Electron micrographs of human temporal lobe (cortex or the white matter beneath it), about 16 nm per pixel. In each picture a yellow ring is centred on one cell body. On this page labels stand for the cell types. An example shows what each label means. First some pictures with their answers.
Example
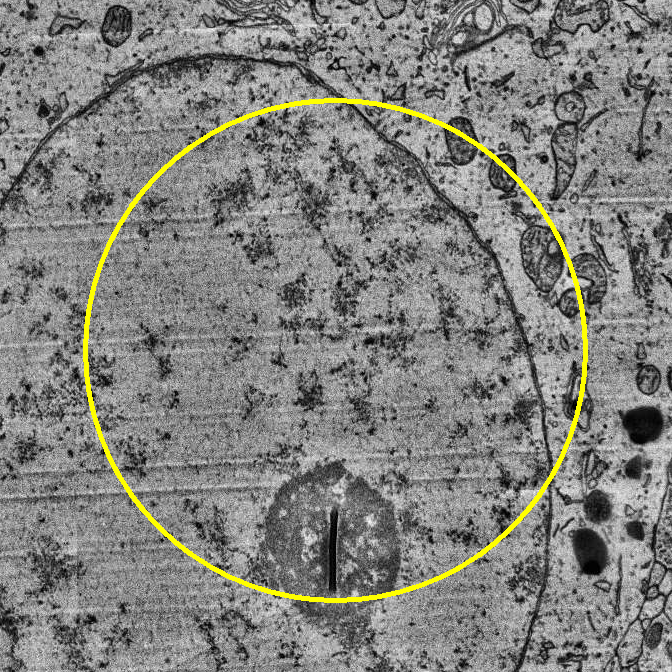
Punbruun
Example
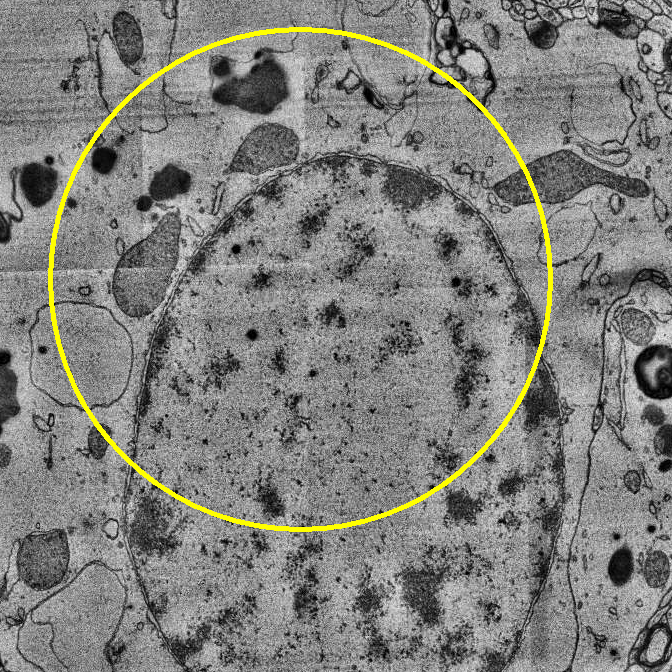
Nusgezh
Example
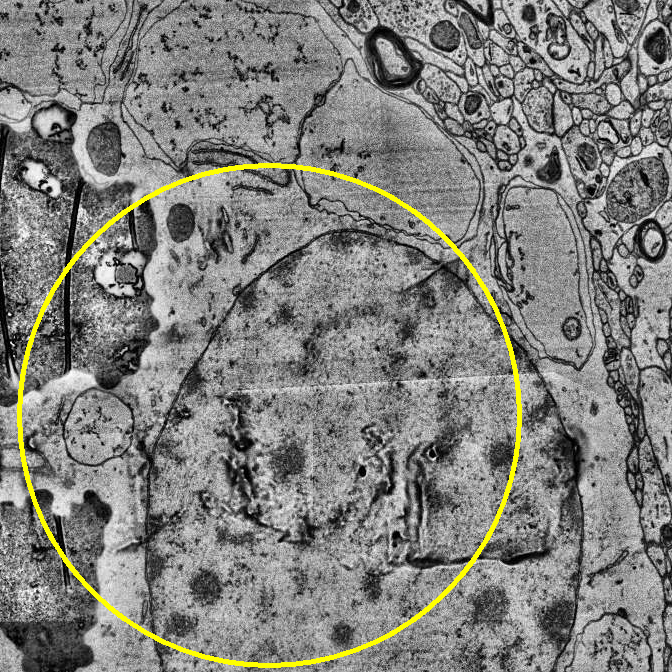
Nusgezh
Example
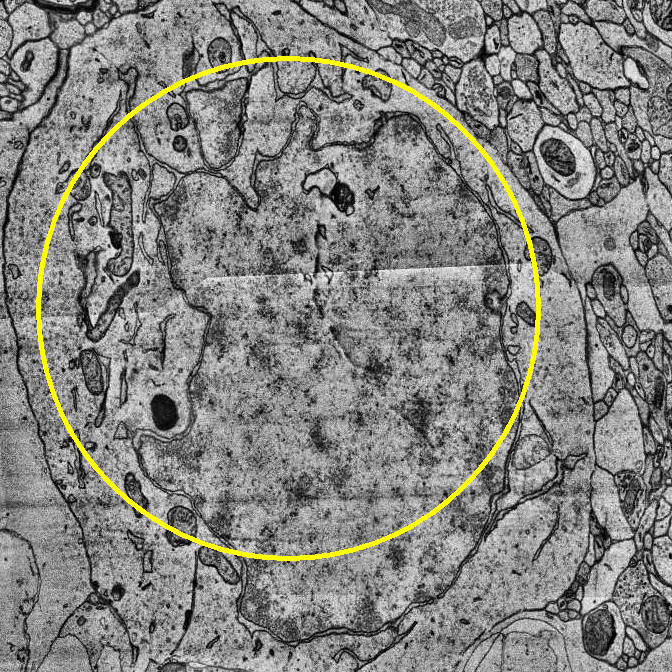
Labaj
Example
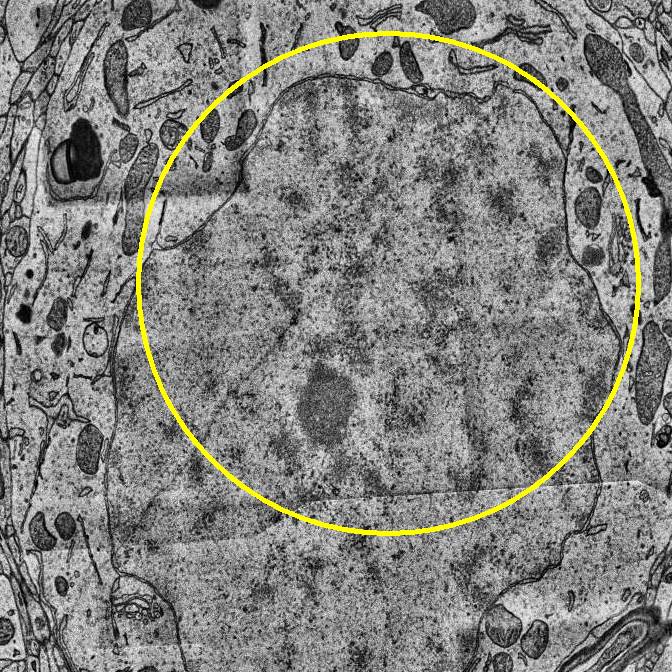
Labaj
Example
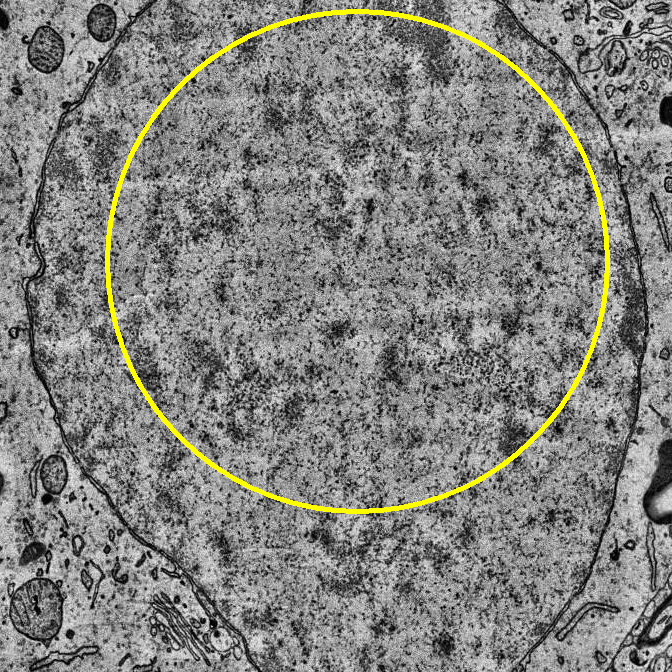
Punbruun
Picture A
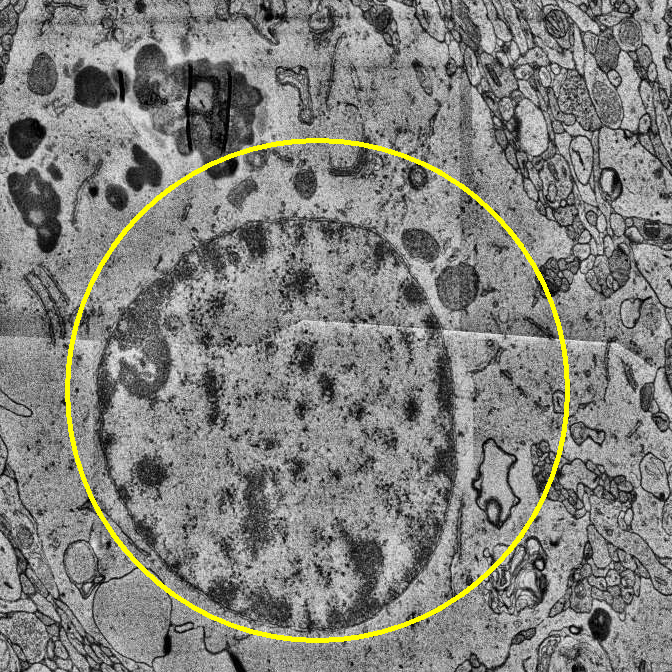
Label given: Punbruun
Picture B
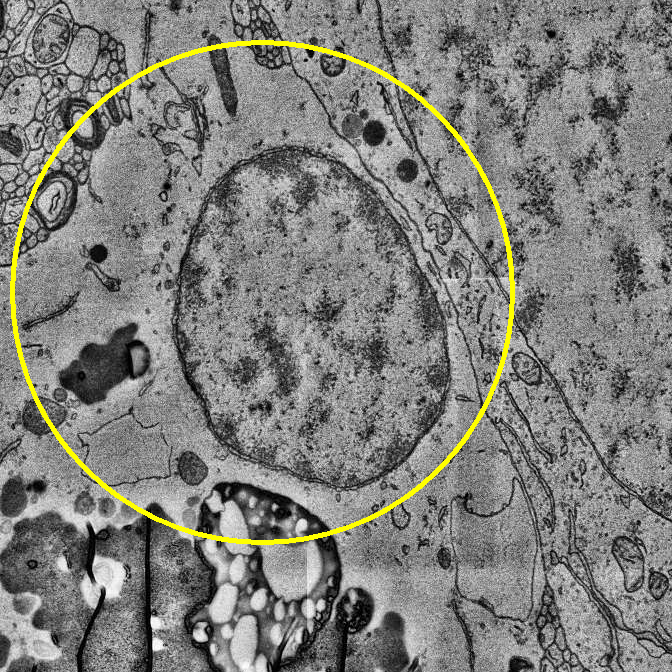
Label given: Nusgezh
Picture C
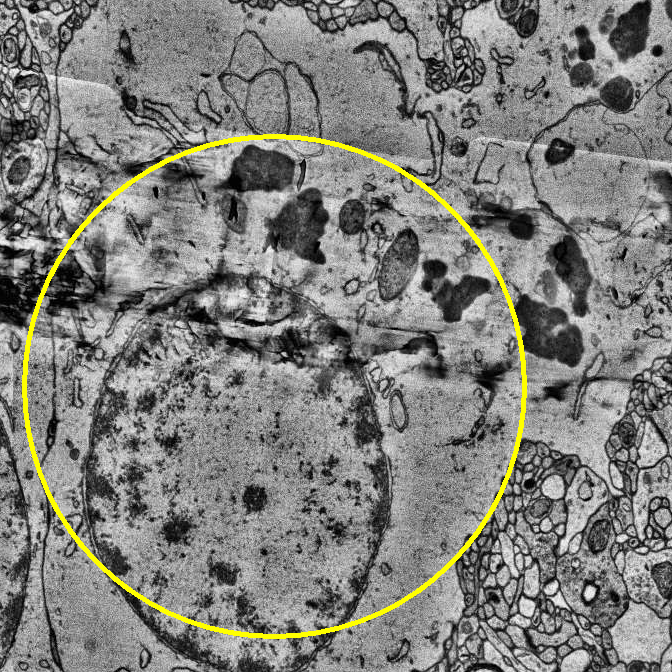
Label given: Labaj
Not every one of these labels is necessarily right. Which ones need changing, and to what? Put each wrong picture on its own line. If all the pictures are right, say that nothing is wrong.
A: change Punbruun to Nusgezh
C: change Labaj to Nusgezh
